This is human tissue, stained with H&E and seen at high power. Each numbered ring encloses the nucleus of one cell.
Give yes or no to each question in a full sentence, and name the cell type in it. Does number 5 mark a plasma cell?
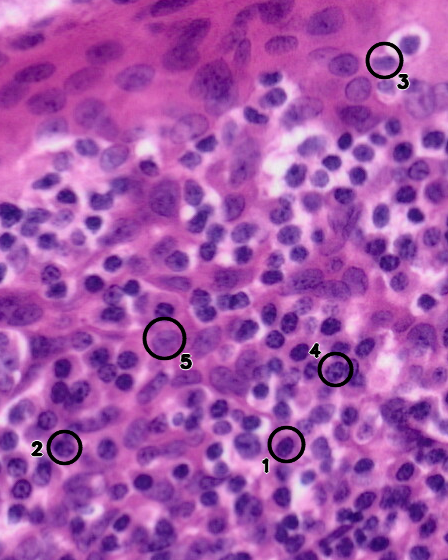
No, a squamous epithelial cell, not a plasma cell, is the cell with number 5.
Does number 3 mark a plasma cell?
No, cell 3 is not a plasma cell at all but a squamous epithelial cell.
